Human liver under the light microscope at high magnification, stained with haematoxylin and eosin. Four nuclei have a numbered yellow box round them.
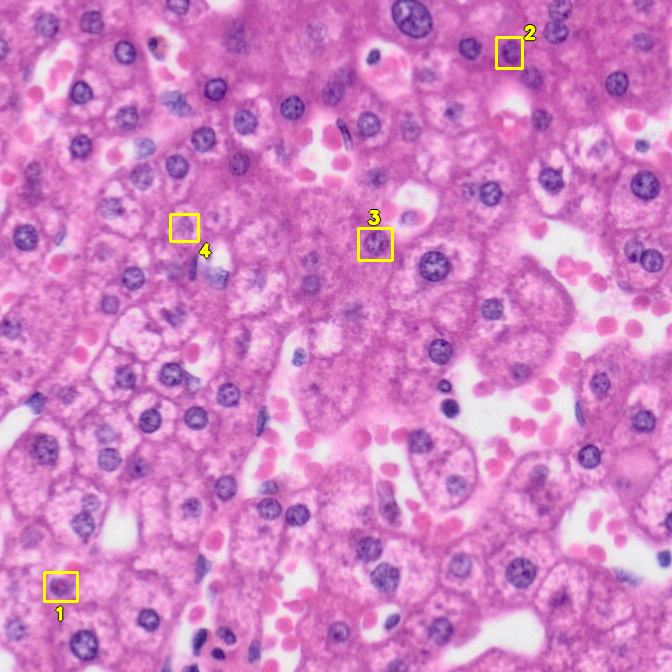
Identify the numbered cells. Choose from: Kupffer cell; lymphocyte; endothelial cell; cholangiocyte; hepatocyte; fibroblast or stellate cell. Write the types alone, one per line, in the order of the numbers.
endothelial cell
hepatocyte
hepatocyte
hepatocyte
